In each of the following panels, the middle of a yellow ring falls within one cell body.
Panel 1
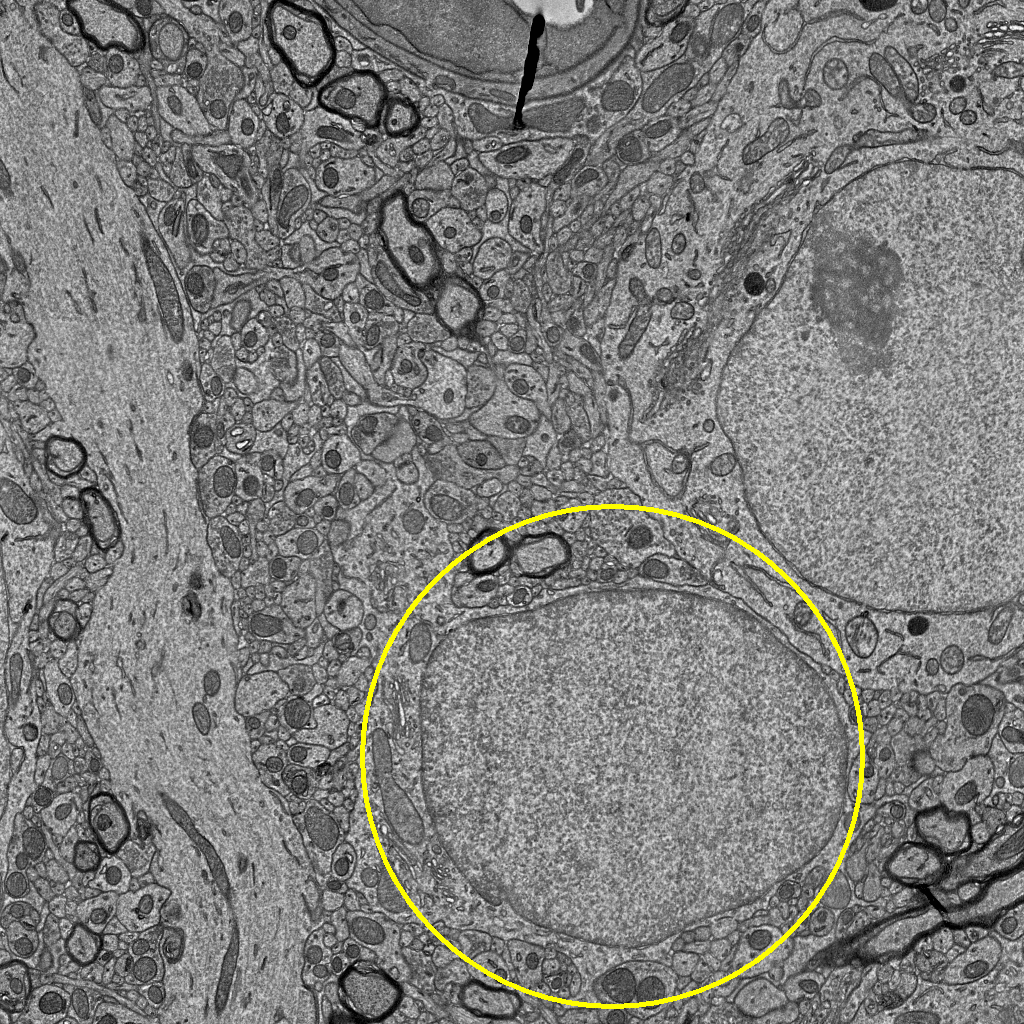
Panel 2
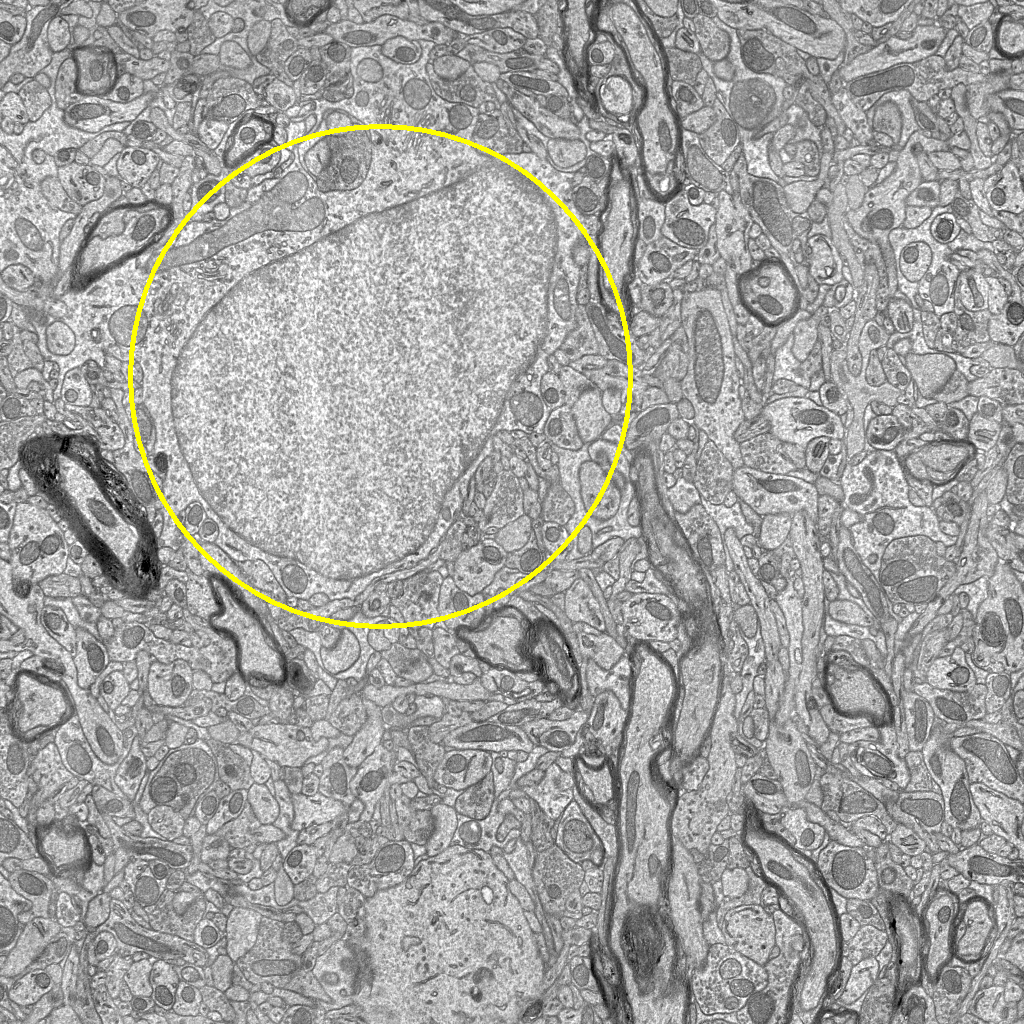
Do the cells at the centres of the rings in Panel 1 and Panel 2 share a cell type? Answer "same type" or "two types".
same type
